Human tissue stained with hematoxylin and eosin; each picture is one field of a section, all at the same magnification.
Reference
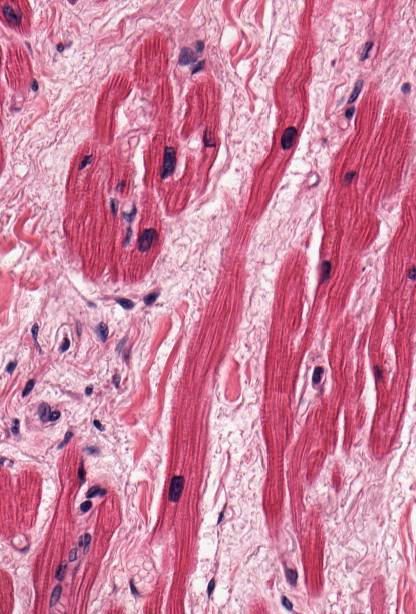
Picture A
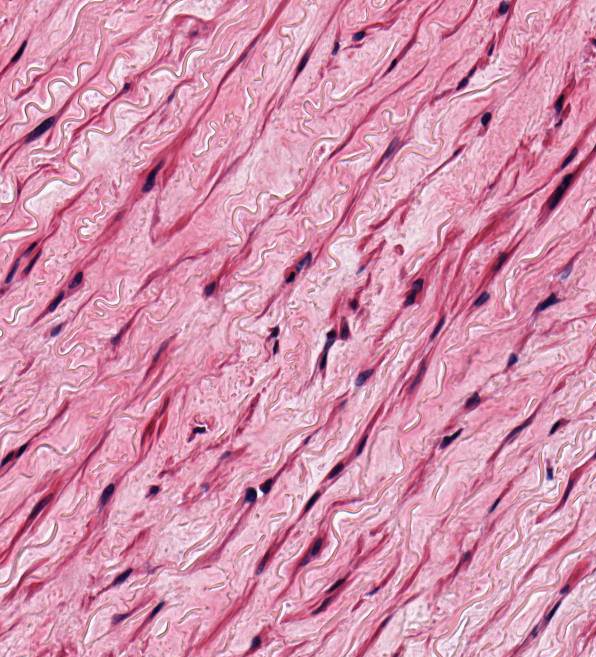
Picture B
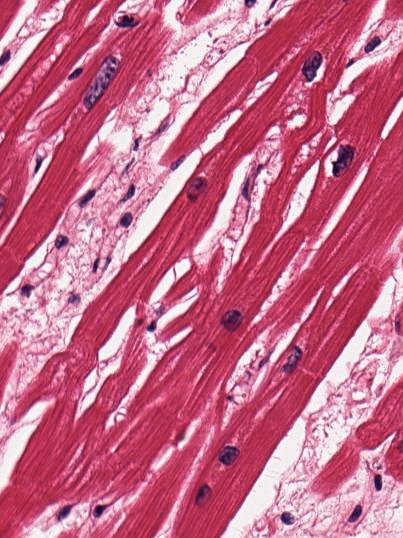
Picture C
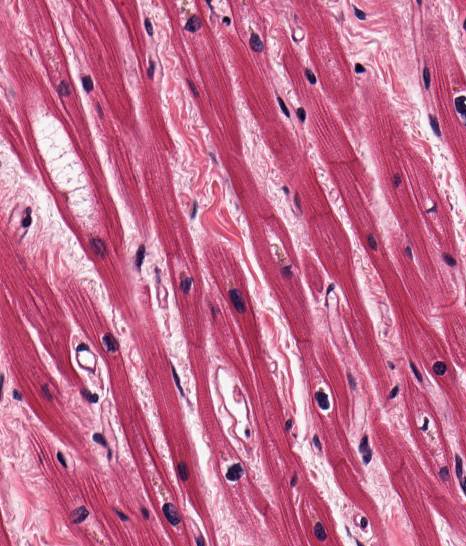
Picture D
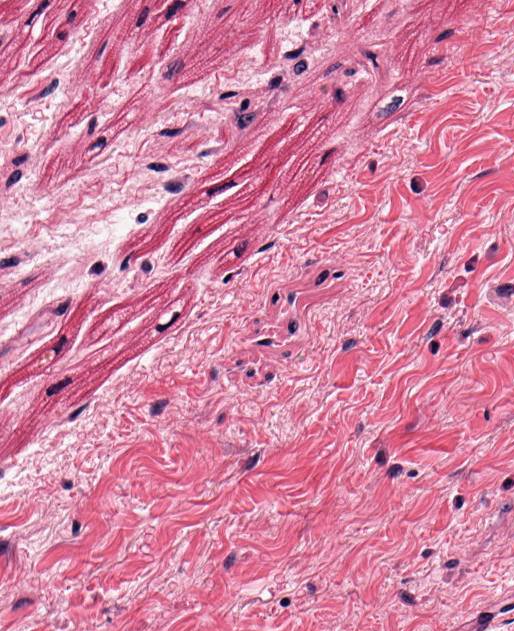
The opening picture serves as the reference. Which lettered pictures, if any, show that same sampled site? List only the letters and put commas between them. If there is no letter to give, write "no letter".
C, D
